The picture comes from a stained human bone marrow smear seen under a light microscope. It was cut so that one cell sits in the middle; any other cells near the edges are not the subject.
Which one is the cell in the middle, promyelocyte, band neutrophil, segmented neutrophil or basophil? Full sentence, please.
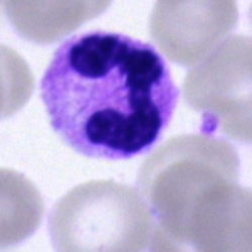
Whatever else lies nearby, the middle cell is a segmented neutrophil.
